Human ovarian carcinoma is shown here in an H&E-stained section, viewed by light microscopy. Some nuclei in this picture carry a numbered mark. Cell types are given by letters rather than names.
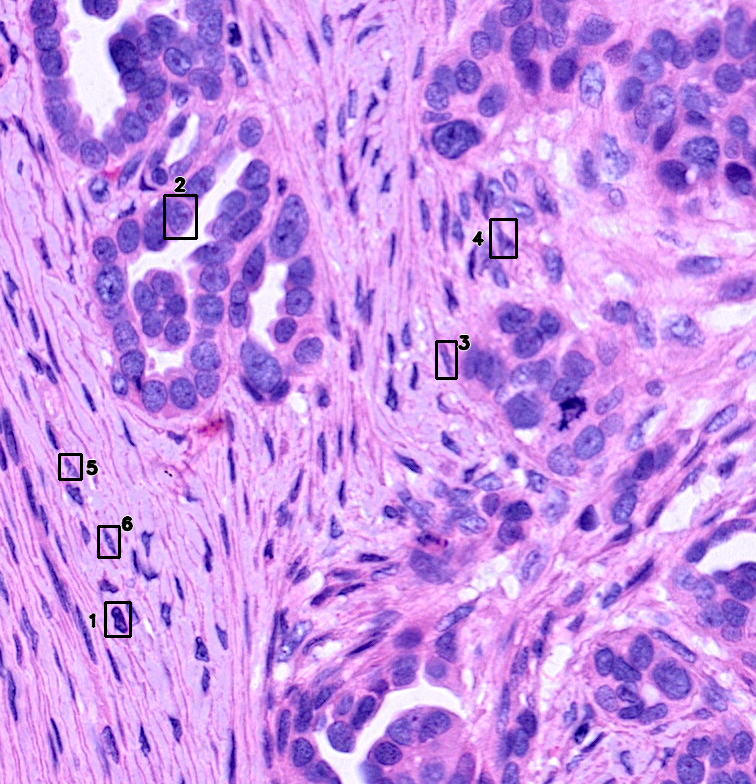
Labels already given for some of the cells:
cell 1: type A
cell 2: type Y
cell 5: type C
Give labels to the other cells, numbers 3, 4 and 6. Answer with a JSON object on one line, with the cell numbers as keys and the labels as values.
{"3": "type C", "4": "type C", "6": "type C"}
